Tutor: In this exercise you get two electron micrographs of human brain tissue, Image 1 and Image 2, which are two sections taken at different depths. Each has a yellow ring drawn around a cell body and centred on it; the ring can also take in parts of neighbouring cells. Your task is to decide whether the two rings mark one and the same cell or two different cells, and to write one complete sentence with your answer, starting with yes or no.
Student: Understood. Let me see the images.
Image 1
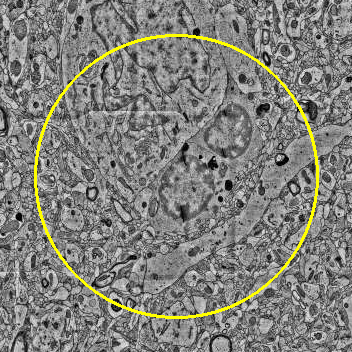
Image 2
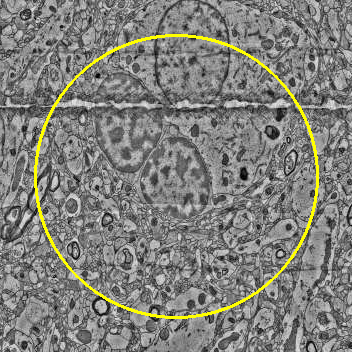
No, the rings surround different cells rather than one cell.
